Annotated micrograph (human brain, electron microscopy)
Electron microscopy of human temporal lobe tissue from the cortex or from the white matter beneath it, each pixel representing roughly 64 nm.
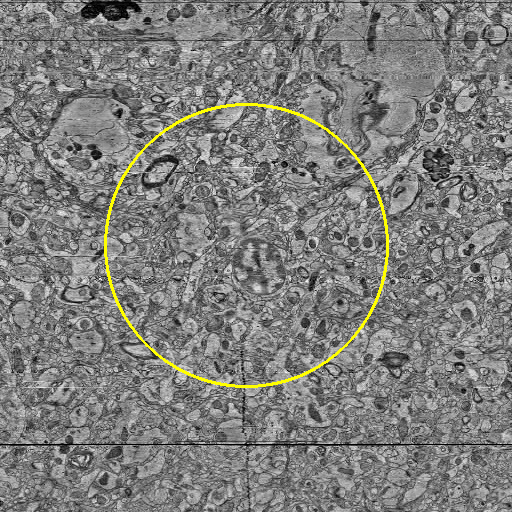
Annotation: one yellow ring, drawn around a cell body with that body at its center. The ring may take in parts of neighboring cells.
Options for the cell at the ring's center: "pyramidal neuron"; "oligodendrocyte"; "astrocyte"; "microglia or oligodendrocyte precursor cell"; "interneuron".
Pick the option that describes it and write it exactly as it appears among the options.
microglia or oligodendrocyte precursor cell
